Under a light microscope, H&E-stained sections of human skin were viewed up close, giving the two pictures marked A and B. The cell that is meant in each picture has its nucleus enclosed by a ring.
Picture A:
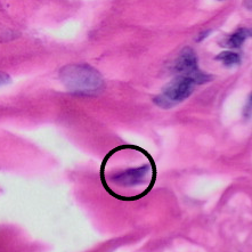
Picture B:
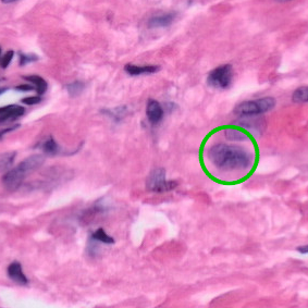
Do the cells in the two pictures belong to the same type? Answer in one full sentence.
No, picture A shows a fibroblast and picture B shows an endothelial cell.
